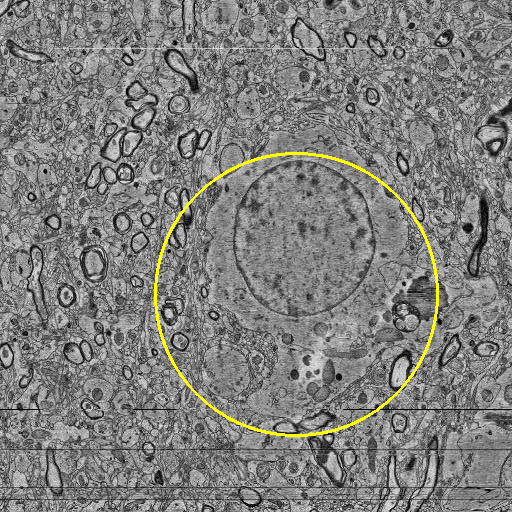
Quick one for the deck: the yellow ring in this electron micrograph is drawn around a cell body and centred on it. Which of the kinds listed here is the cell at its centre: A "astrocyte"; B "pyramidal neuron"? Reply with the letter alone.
A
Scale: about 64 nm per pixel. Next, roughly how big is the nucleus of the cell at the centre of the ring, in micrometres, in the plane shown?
Roughly 10 micrometres across for the nucleus, in this plane.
